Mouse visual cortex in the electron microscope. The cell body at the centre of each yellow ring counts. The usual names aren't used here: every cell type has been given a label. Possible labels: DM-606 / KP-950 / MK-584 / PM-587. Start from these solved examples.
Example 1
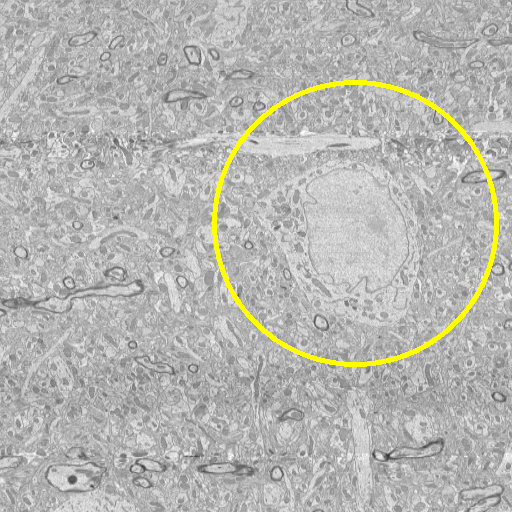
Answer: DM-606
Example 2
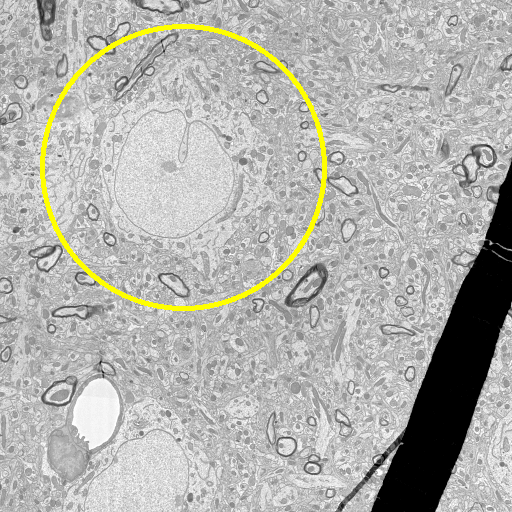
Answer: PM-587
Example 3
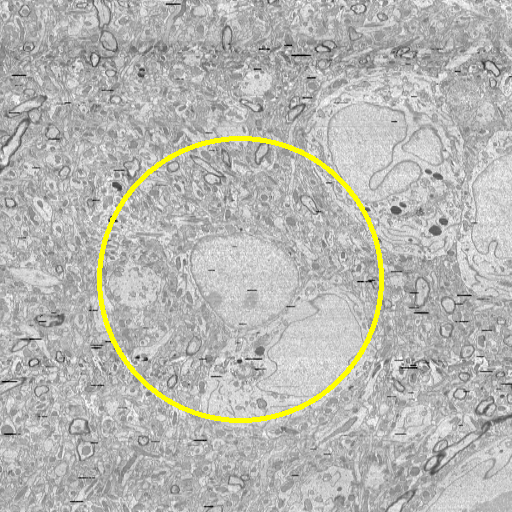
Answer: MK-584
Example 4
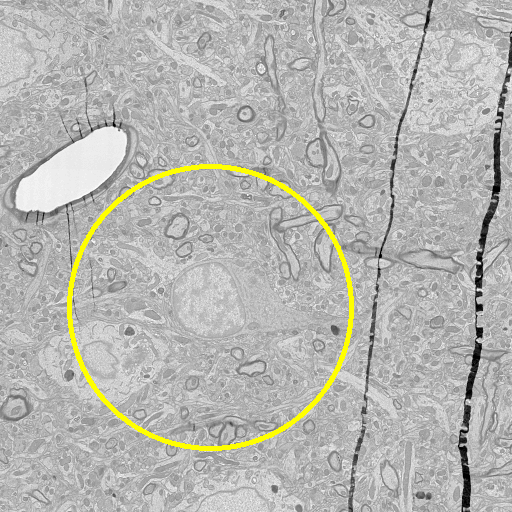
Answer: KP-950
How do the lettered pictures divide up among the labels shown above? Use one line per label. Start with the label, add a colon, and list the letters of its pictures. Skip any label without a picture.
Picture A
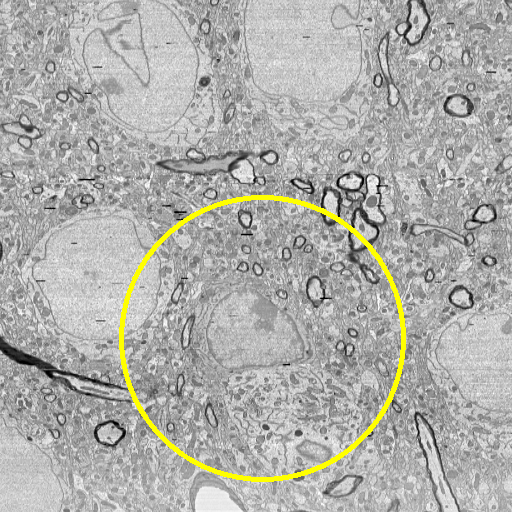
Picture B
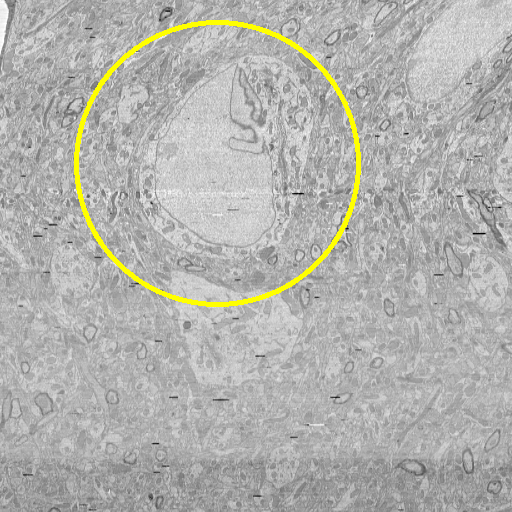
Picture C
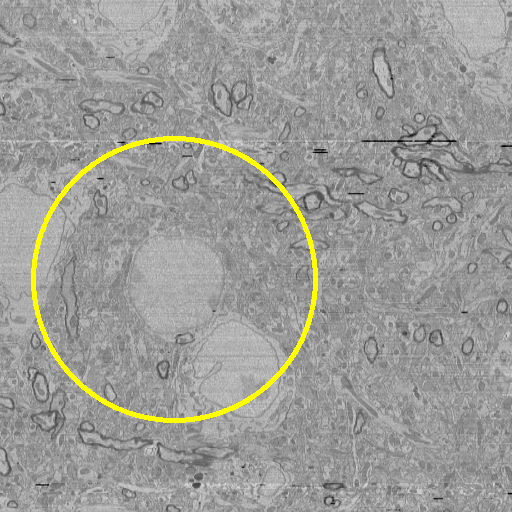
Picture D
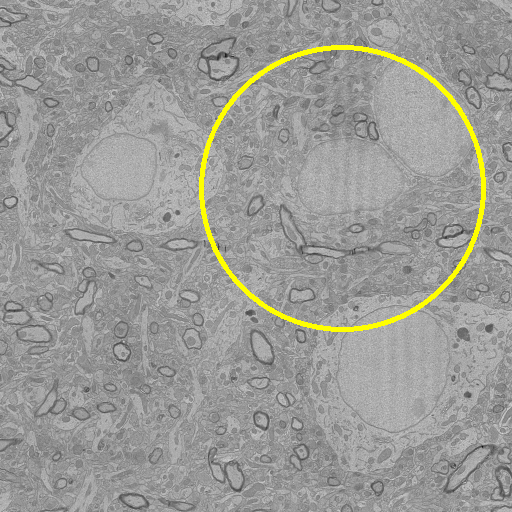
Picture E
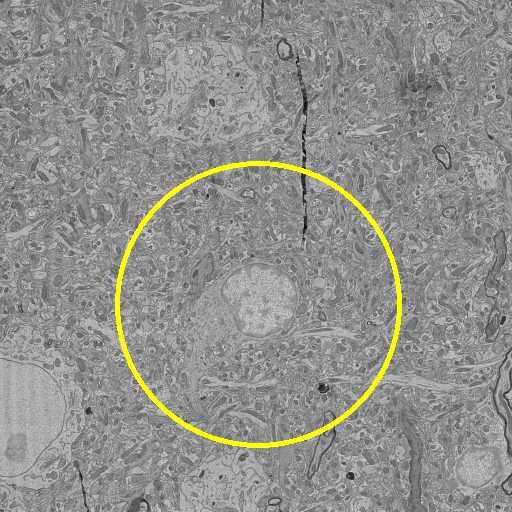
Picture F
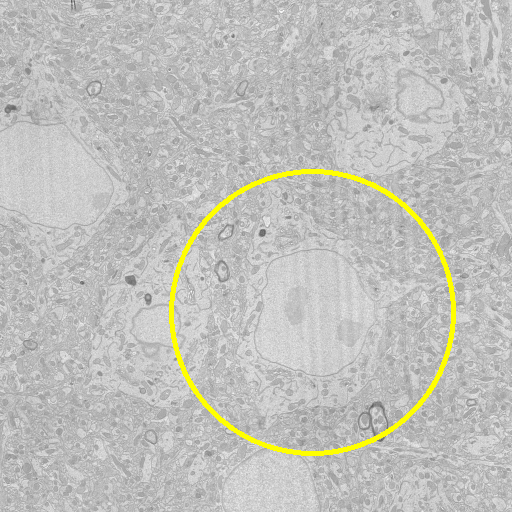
DM-606: B
KP-950: A, E
MK-584: C, D
PM-587: F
